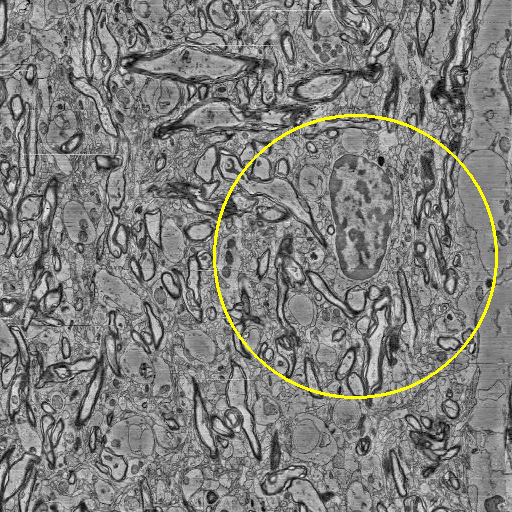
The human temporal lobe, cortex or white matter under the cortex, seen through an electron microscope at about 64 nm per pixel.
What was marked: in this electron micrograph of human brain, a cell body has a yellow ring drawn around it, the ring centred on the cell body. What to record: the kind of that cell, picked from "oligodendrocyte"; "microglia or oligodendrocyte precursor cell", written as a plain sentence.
The centred cell is a microglial cell or oligodendrocyte precursor cell.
